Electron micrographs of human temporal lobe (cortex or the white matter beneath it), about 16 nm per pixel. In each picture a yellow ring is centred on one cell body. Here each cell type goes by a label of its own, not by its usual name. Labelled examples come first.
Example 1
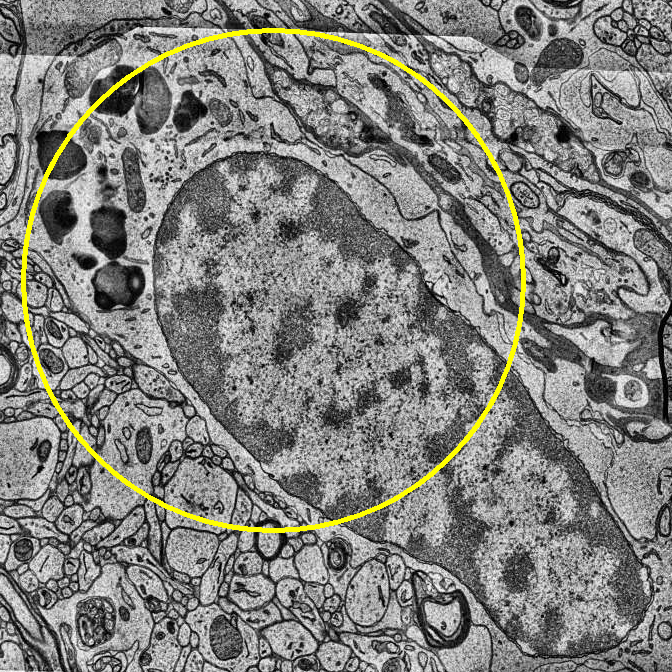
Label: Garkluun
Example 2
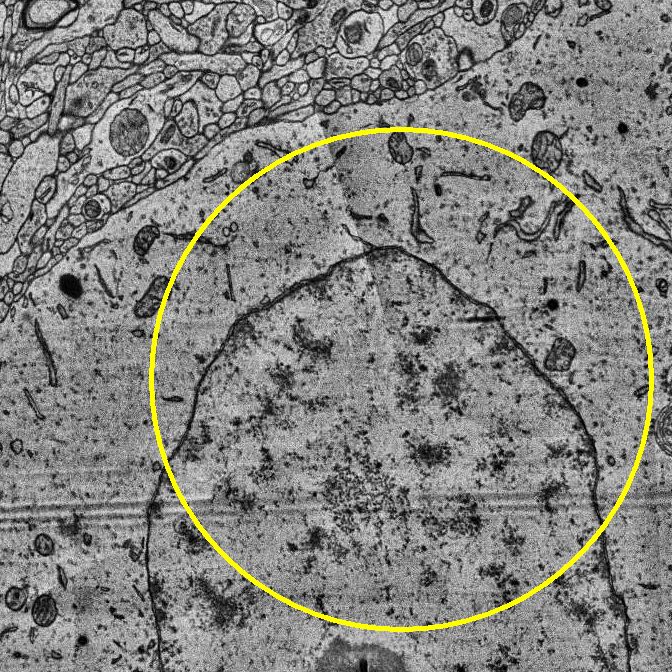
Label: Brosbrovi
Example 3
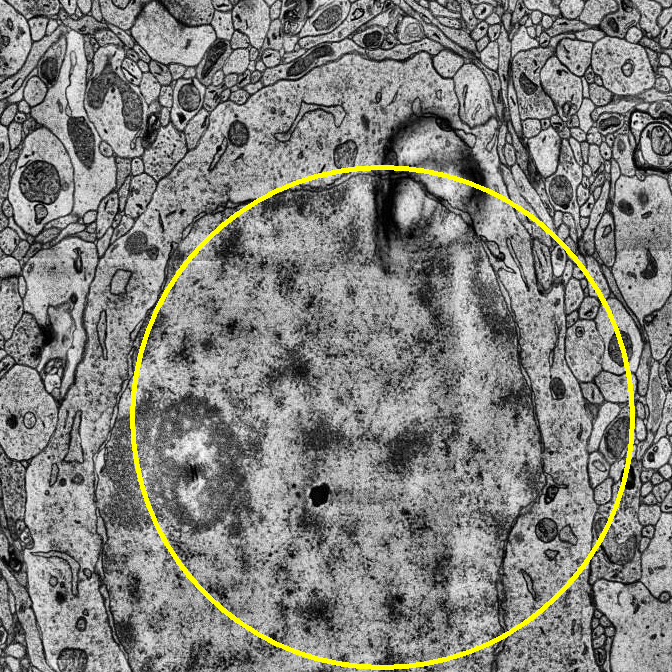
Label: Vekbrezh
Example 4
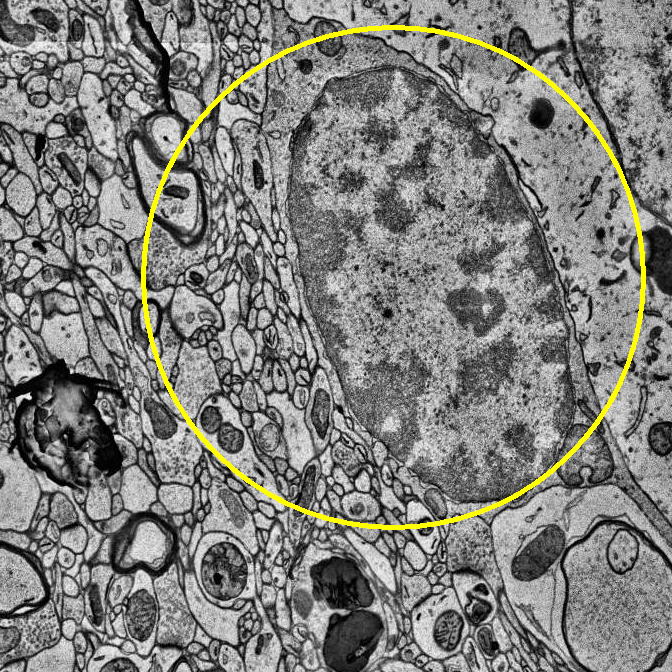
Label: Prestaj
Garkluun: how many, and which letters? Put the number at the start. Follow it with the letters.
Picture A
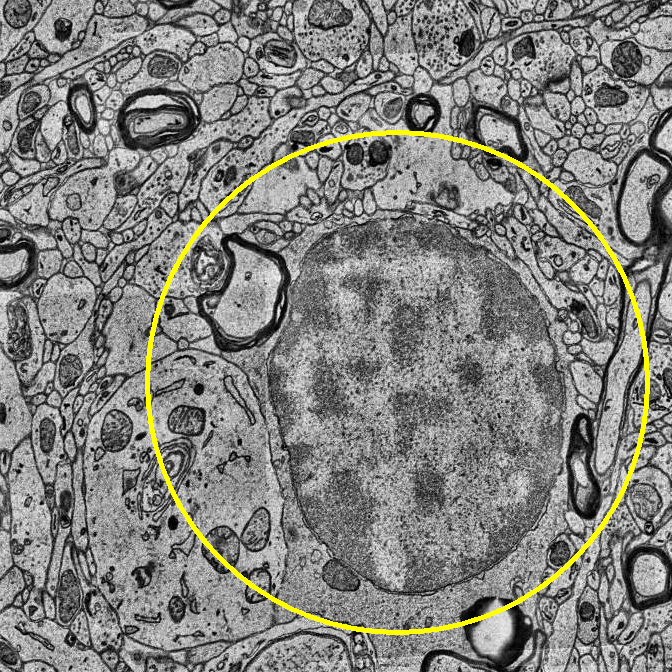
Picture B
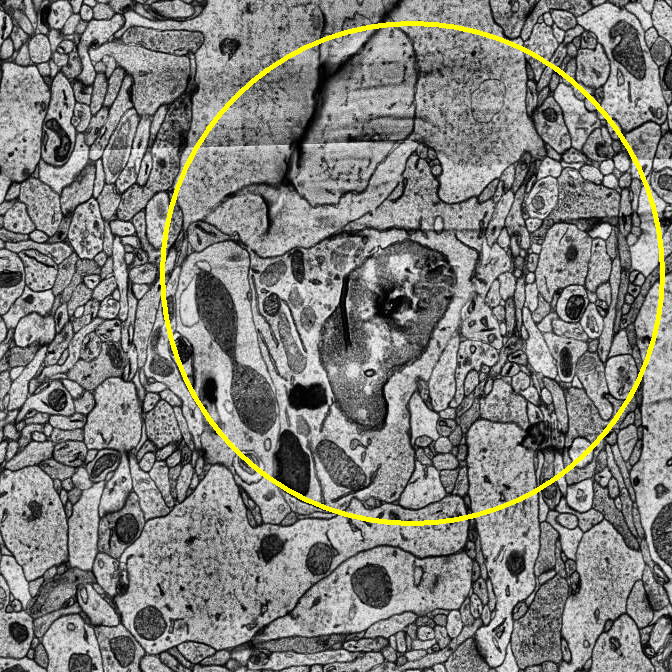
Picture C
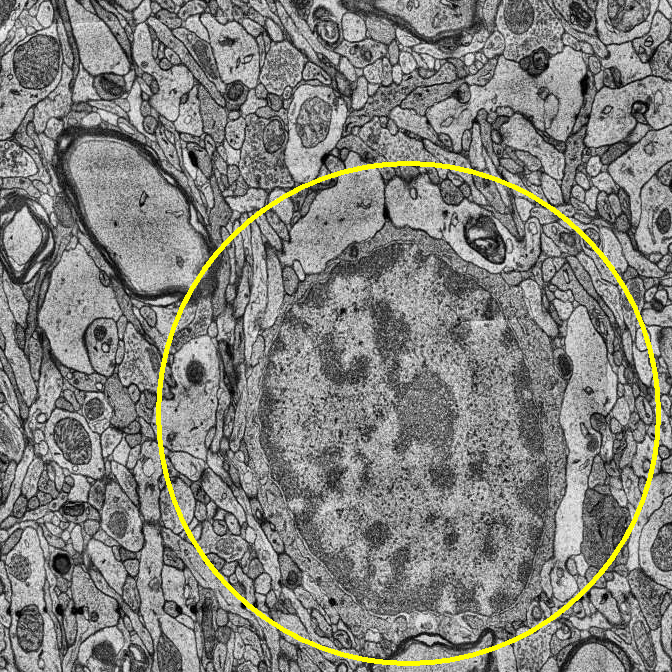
Count: 1 (B)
